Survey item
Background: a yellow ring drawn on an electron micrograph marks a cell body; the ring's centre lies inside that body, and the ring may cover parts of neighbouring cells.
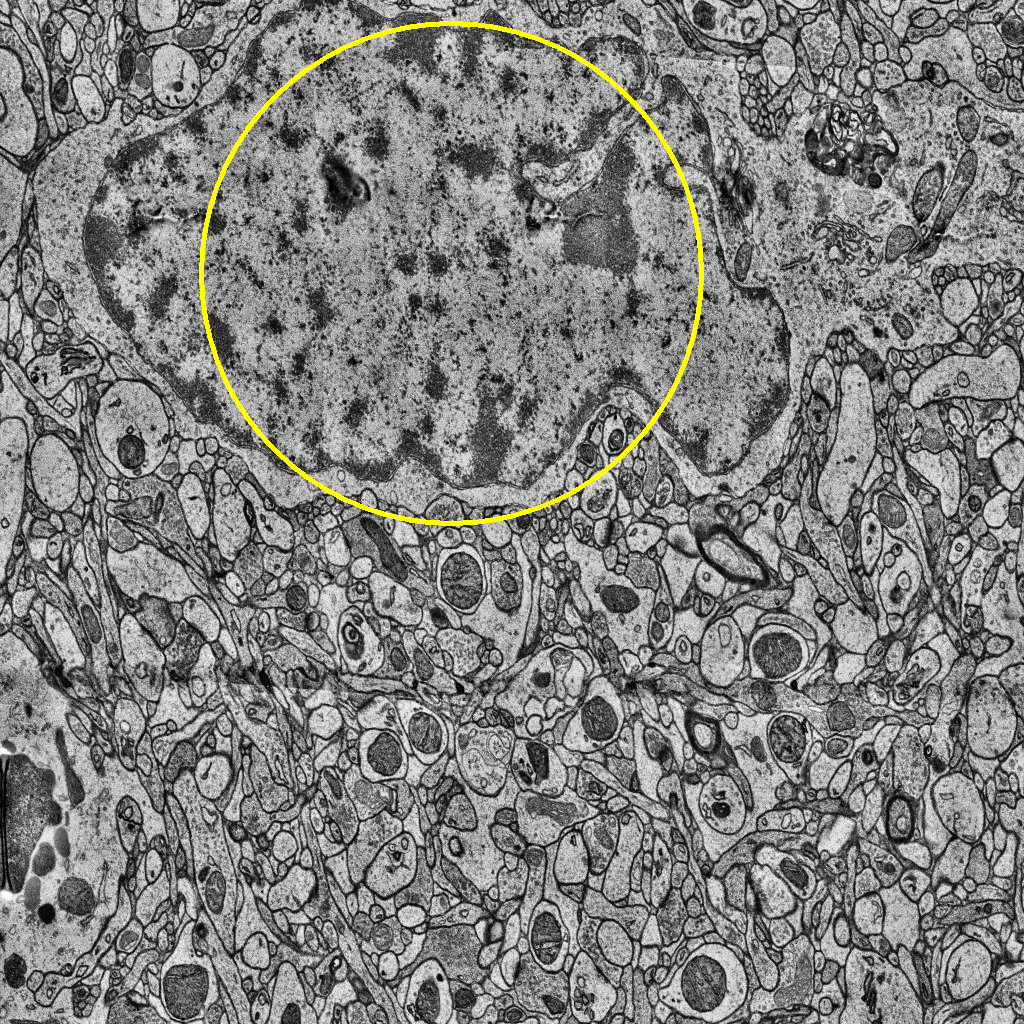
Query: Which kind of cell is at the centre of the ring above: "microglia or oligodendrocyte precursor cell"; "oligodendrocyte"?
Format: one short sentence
The cell in the middle of the ring is a microglial cell or oligodendrocyte precursor cell.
